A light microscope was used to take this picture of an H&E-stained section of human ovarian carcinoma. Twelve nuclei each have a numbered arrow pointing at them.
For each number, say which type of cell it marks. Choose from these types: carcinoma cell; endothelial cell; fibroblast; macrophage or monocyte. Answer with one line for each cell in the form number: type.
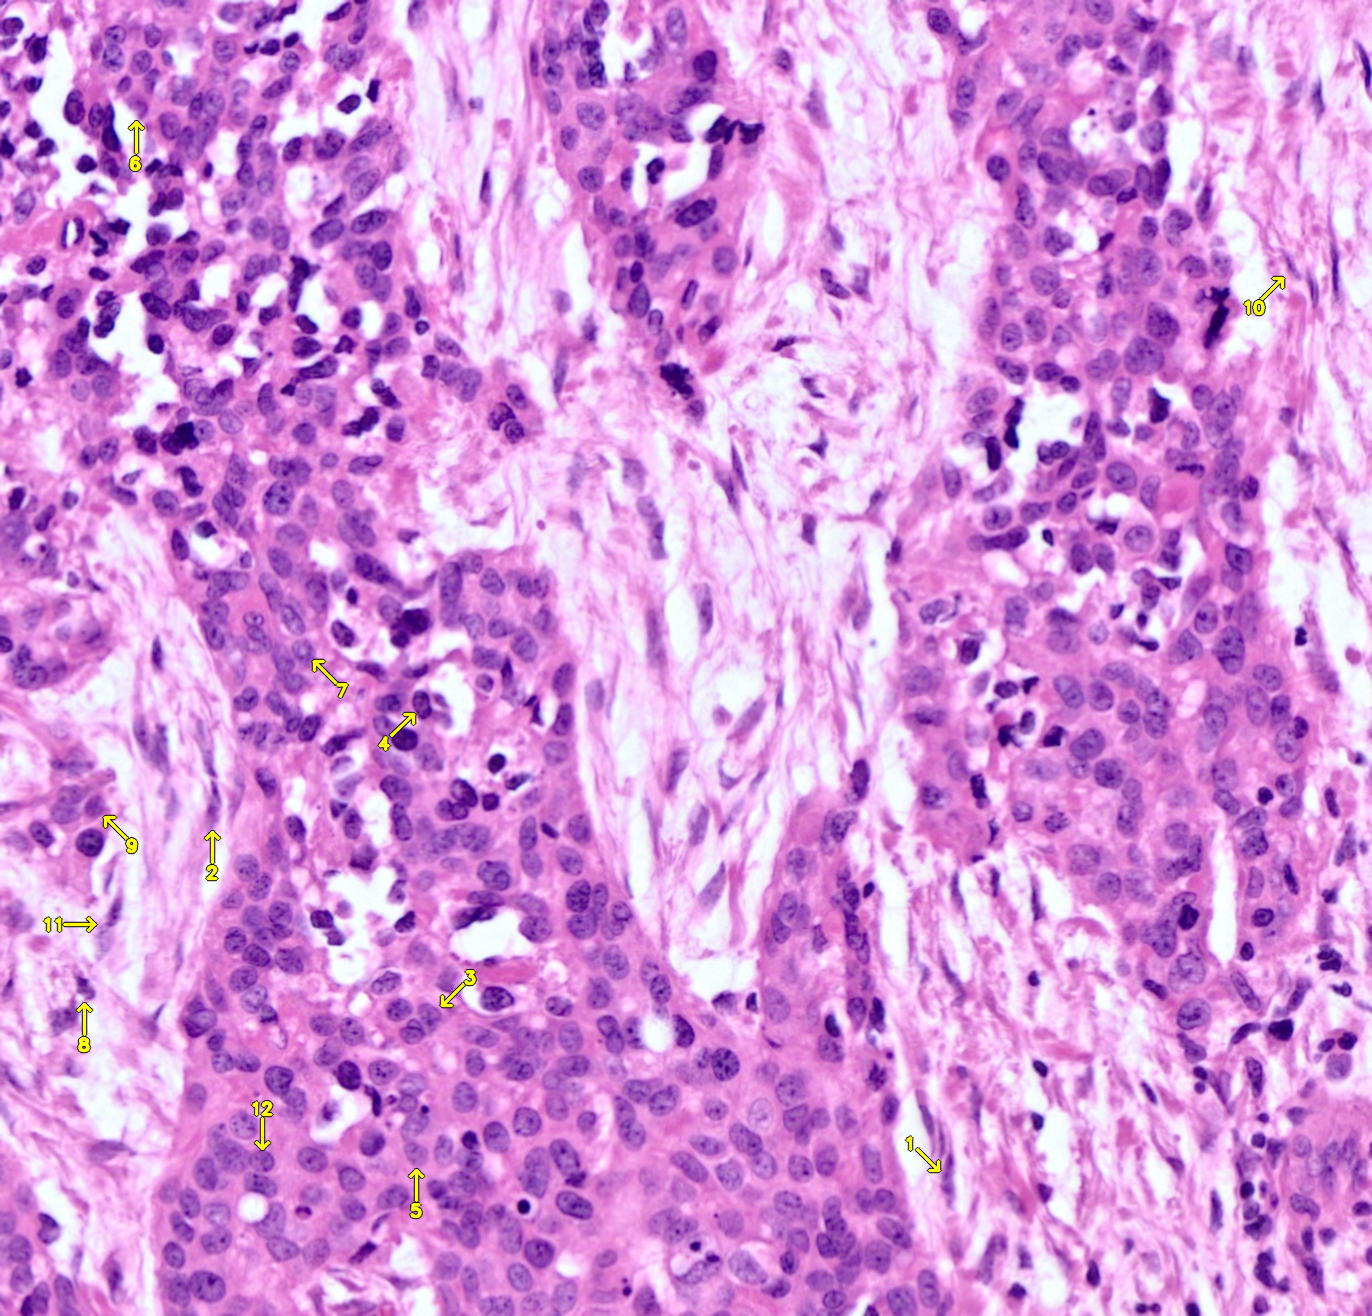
1: fibroblast
2: fibroblast
3: carcinoma cell
4: carcinoma cell
5: carcinoma cell
6: carcinoma cell
7: carcinoma cell
8: fibroblast
9: carcinoma cell
10: fibroblast
11: fibroblast
12: carcinoma cell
